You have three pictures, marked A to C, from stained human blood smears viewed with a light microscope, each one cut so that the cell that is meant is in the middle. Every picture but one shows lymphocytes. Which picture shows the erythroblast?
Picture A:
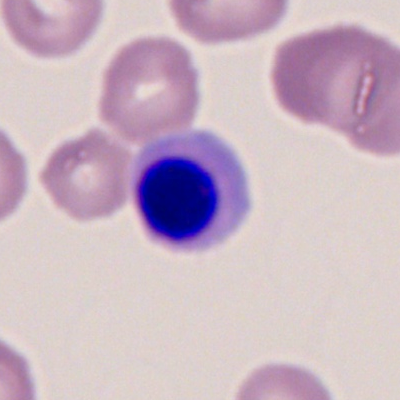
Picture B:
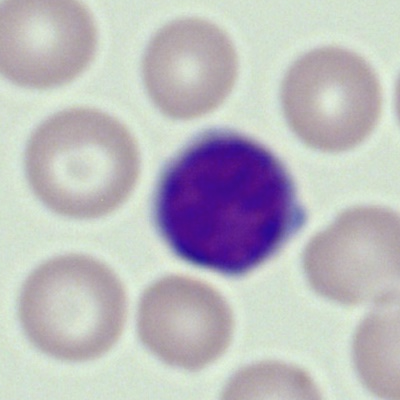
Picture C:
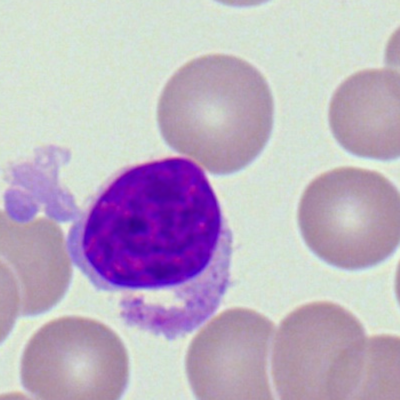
A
